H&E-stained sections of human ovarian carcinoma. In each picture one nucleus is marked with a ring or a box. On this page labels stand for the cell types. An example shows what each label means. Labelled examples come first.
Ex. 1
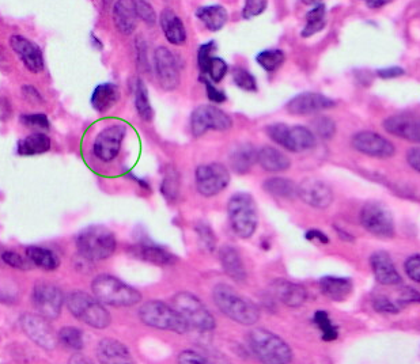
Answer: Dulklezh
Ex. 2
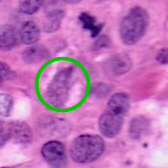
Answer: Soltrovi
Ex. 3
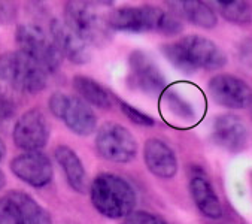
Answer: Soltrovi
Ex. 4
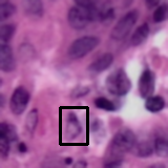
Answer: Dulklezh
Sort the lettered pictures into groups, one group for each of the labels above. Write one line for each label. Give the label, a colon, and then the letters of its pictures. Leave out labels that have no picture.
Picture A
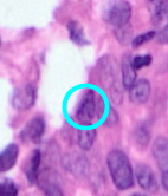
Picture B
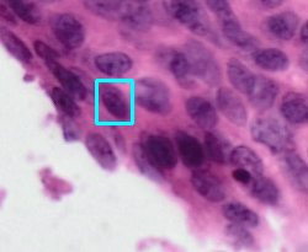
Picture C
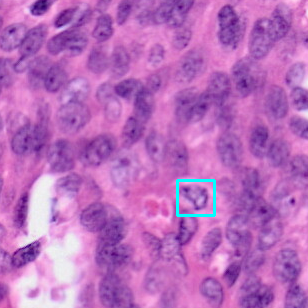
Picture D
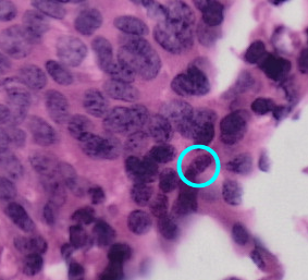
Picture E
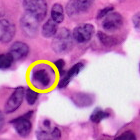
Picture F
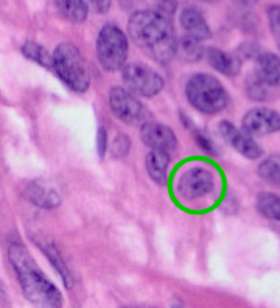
Dulklezh: C, F
Soltrovi: A, B, D, E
